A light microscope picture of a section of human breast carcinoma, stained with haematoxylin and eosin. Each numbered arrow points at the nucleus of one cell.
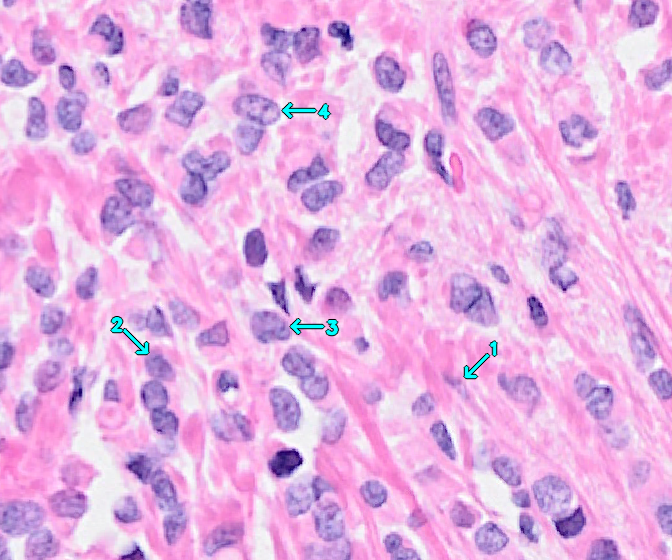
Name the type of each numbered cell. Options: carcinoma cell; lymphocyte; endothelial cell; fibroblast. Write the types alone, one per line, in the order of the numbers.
fibroblast
carcinoma cell
carcinoma cell
carcinoma cell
